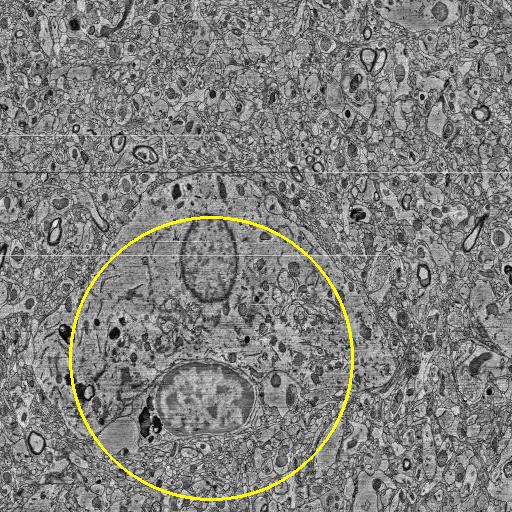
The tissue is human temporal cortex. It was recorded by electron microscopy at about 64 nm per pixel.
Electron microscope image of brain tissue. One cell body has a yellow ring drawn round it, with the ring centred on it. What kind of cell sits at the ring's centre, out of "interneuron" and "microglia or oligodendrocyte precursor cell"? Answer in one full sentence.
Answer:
It is a microglial cell or oligodendrocyte precursor cell whose cell body sits at the centre of the yellow ring.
